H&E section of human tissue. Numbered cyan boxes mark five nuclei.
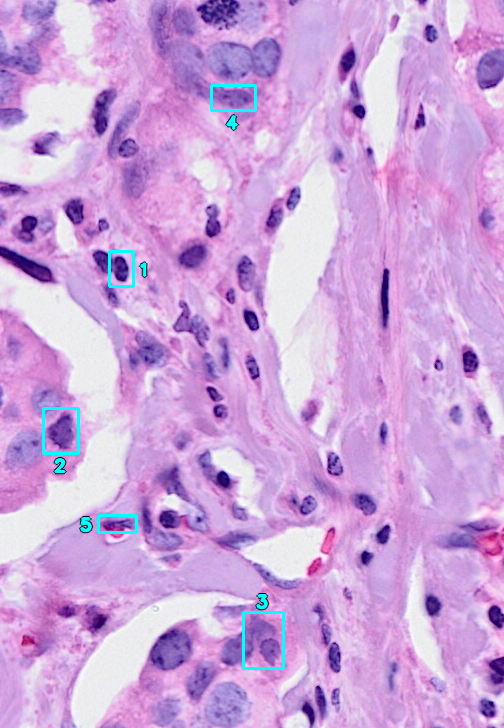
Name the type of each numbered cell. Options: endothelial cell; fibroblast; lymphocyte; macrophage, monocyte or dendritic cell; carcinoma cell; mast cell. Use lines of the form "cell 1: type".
cell 1: lymphocyte
cell 2: carcinoma cell
cell 3: carcinoma cell
cell 4: carcinoma cell
cell 5: endothelial cell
